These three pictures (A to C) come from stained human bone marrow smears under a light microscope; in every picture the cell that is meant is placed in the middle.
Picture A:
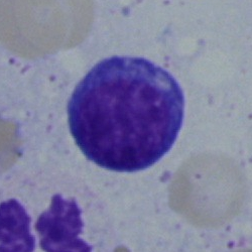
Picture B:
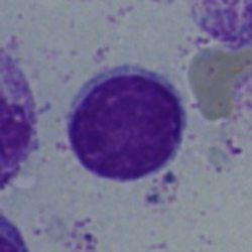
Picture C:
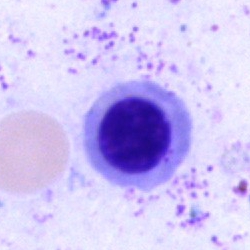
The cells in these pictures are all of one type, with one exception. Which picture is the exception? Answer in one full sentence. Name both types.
Picture C is the odd one out: it shows an erythroblast, while the others show lymphocytes.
